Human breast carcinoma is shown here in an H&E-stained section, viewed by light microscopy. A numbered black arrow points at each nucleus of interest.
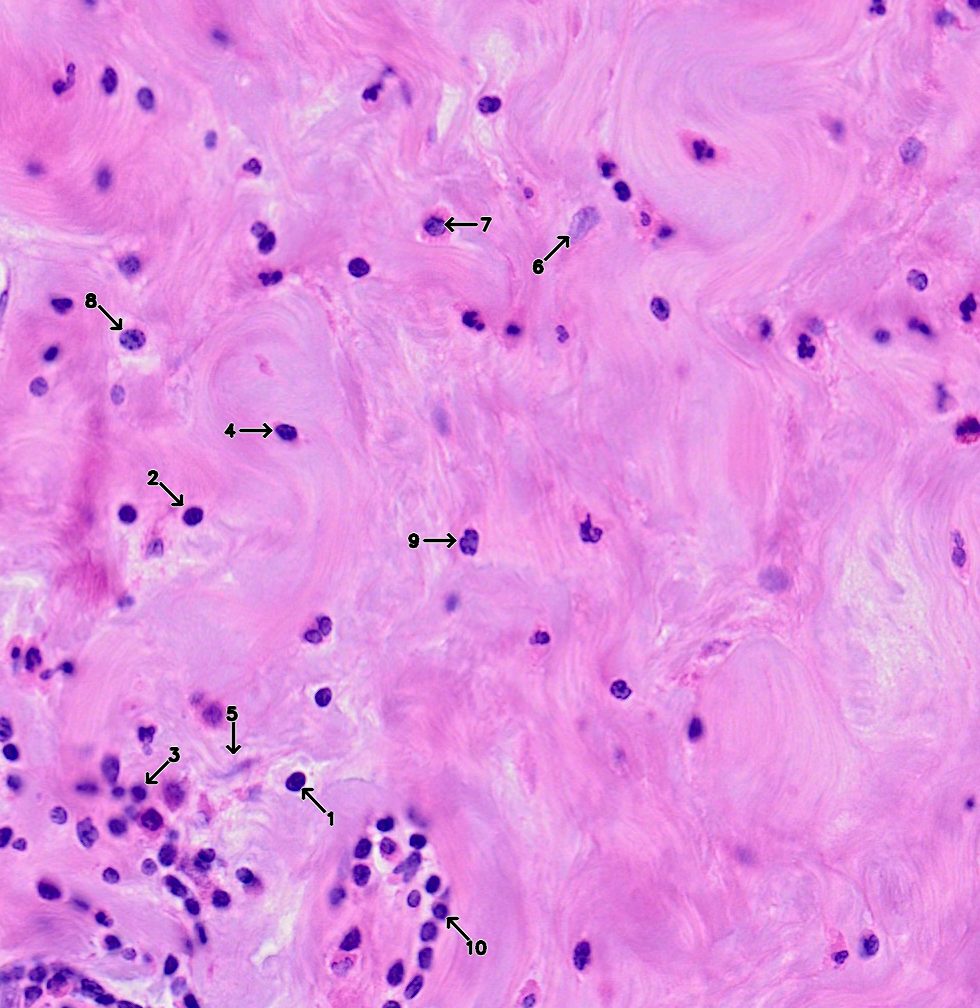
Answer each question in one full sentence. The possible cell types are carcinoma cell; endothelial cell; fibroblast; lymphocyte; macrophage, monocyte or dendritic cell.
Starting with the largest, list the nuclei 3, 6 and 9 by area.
Going from the biggest nucleus down to the smallest gives 6, 9, 3.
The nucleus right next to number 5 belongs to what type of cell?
Closest to number 5 lies the nucleus of a macrophage, monocyte or dendritic cell.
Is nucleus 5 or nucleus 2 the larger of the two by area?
Of the two, number 5 is bigger and takes up about 1.5 times the area of number 2.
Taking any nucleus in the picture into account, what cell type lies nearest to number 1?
The nearest nucleus to number 1 belongs to a macrophage, monocyte or dendritic cell.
